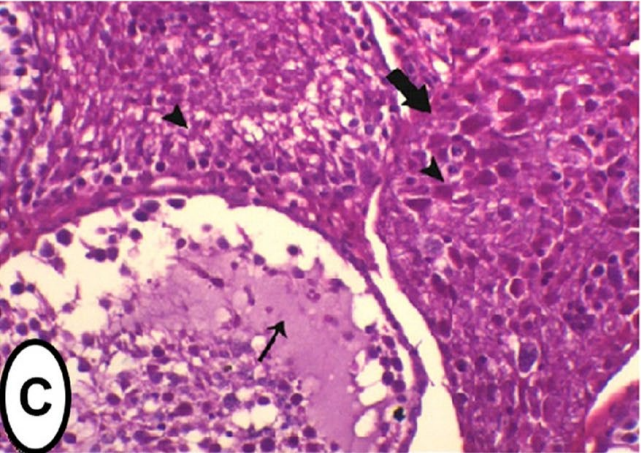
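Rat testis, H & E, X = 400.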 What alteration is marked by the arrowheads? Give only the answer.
Severe degeneration of spermatogenic cells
